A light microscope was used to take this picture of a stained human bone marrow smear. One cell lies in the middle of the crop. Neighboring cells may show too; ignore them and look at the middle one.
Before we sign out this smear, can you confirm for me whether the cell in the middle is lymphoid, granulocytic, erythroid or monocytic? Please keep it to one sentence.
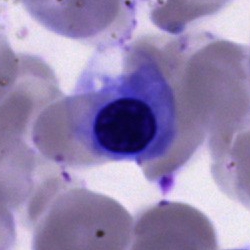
The cell in the crop's center is a cell of the erythroid lineage.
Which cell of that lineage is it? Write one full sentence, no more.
The crop centres on a single cell, and that cell is an erythroblast.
